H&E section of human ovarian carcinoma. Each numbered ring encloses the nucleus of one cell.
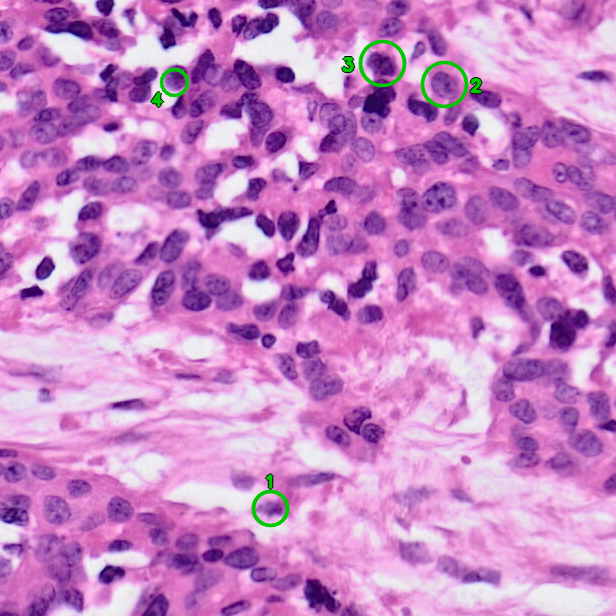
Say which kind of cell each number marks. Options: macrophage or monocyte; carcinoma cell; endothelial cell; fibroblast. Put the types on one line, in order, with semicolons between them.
fibroblast; carcinoma cell; carcinoma cell; carcinoma cell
